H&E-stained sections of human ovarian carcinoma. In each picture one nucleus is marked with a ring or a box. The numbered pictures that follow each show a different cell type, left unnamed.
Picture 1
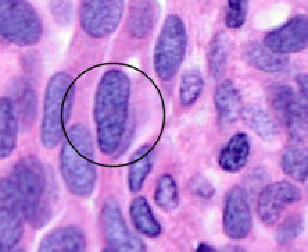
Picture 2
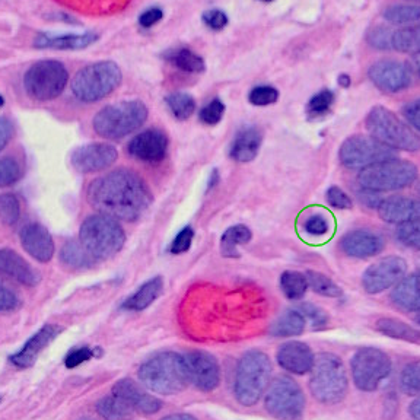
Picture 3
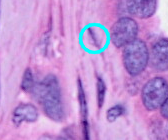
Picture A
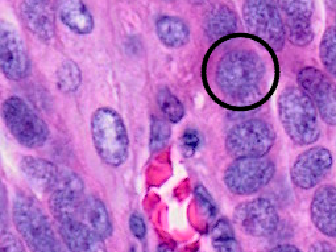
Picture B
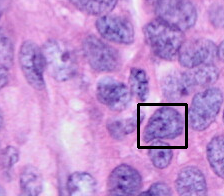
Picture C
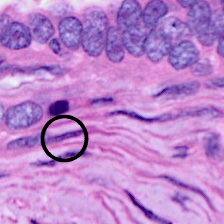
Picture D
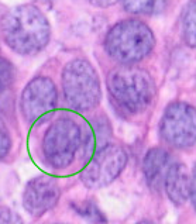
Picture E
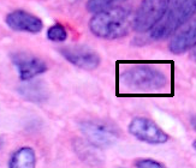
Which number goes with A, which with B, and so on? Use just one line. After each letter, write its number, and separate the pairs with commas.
A 1, B 1, C 3, D 1, E 3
